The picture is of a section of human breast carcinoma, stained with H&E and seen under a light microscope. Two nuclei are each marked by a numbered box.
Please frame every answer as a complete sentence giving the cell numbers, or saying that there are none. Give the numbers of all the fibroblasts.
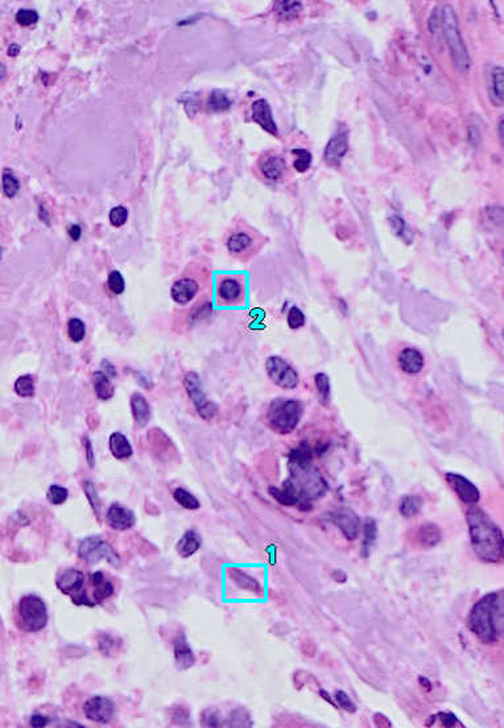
Of all the numbered cells, only one is a fibroblast, and that is cell 1.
